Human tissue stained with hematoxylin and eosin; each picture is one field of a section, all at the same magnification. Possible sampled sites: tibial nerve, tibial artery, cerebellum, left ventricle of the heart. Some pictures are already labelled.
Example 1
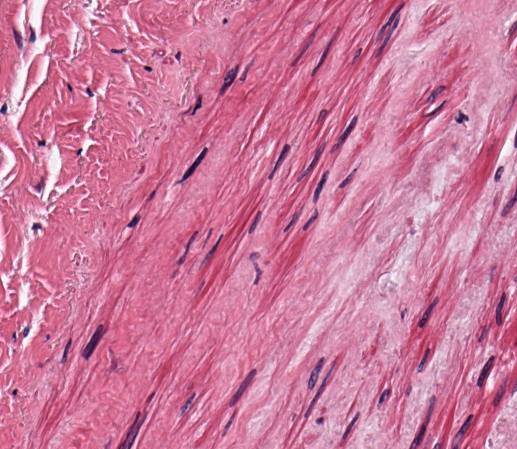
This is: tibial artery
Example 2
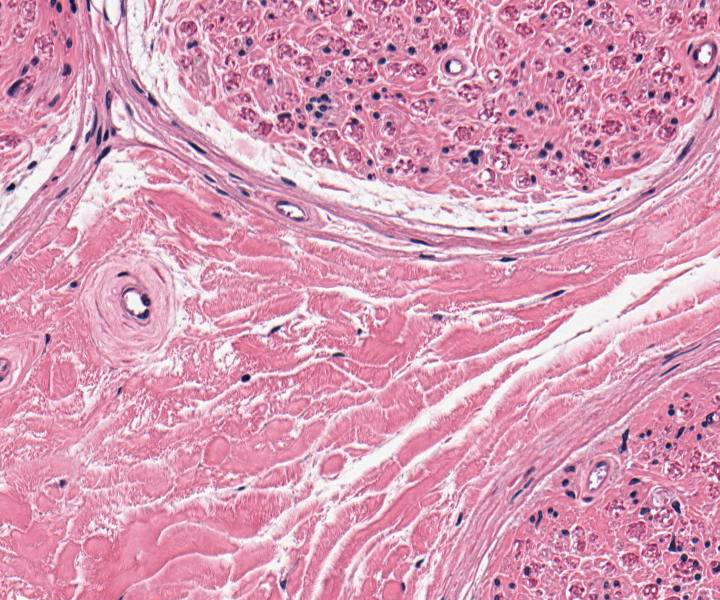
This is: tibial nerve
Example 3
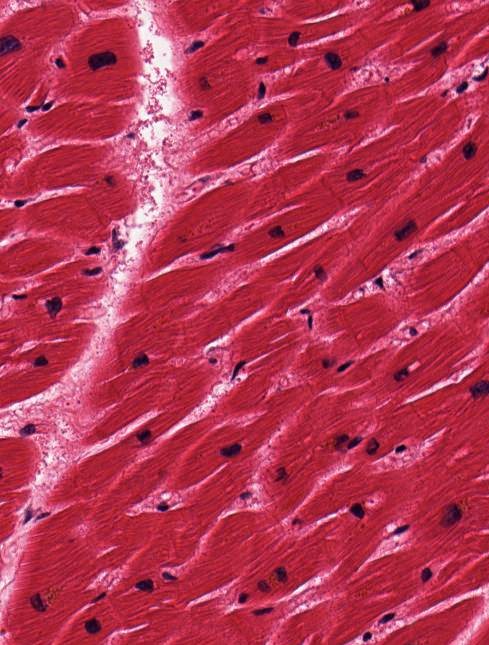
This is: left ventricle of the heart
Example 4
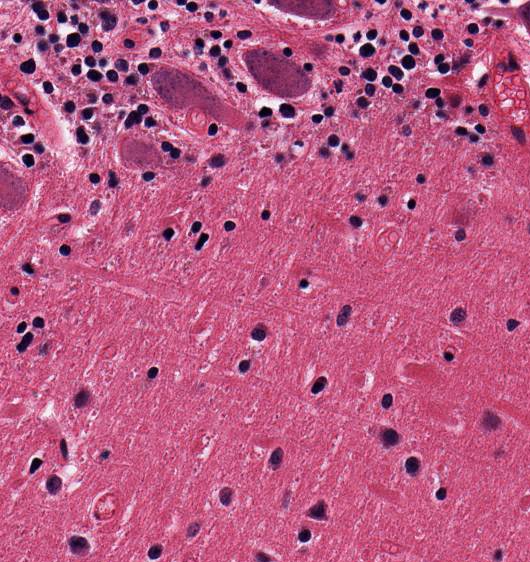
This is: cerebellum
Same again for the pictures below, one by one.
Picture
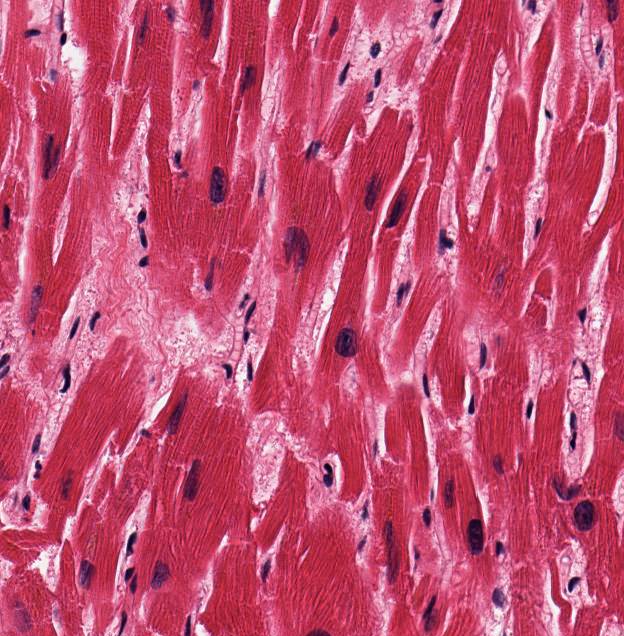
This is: left ventricle of the heart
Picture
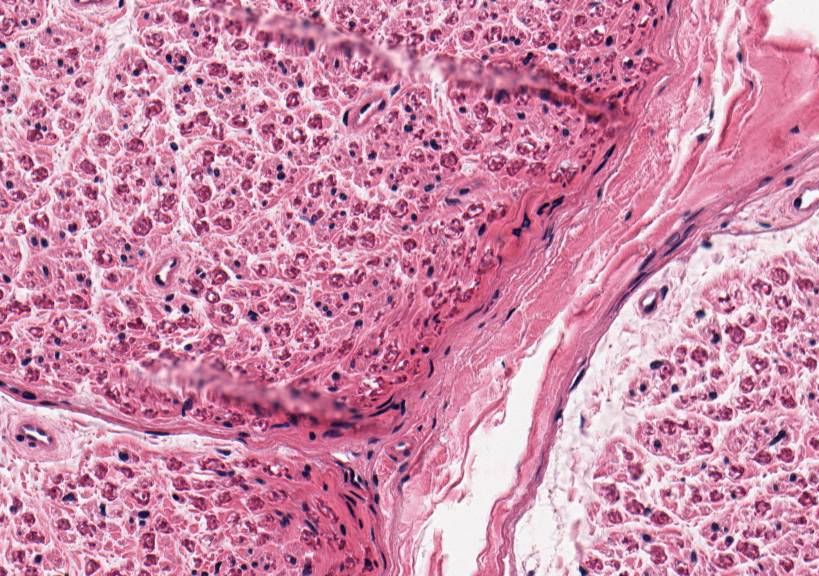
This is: tibial nerve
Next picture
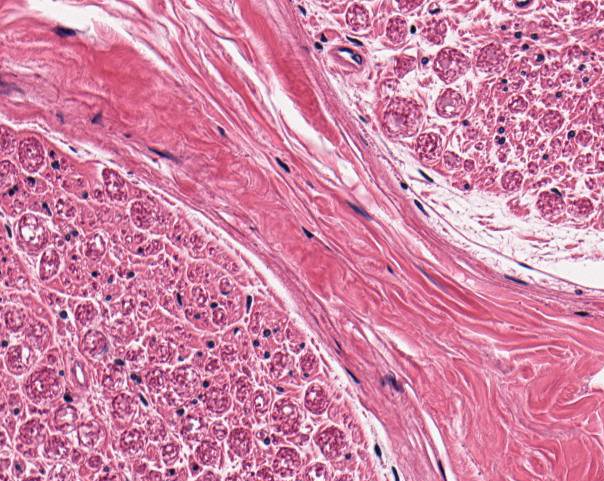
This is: tibial nerve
